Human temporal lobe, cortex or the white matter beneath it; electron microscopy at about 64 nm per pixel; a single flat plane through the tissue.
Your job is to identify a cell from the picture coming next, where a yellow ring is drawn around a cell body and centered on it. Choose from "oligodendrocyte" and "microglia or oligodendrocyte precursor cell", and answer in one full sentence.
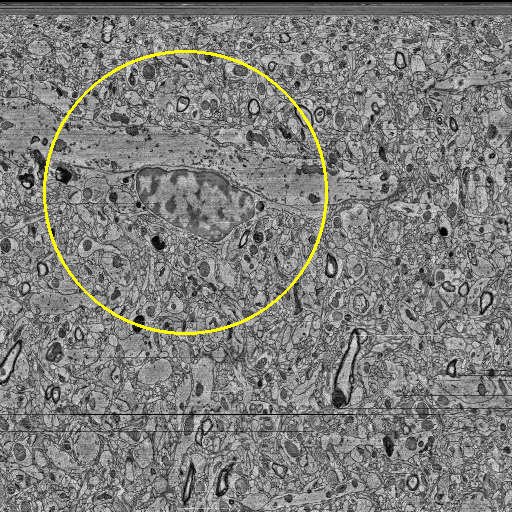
Centered in the yellow ring of the picture is the body of a microglial cell or oligodendrocyte precursor cell.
